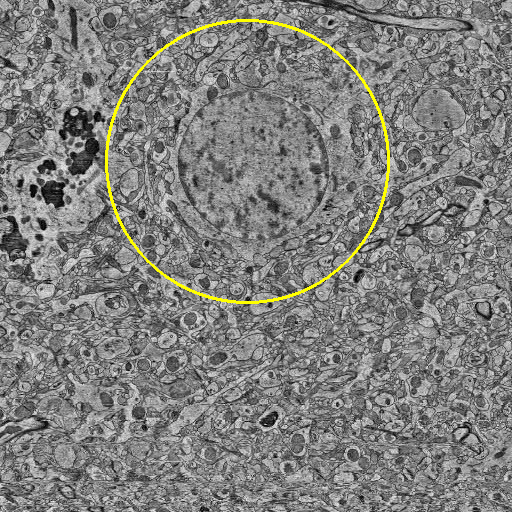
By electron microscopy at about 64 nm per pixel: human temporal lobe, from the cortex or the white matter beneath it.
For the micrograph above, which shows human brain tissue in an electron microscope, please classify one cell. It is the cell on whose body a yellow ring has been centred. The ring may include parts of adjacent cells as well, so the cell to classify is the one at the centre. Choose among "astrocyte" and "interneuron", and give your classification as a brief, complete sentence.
I classify this cell as an astrocyte.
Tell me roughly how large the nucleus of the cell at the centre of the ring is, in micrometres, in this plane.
In this plane the nucleus measures roughly 10 micrometres across.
